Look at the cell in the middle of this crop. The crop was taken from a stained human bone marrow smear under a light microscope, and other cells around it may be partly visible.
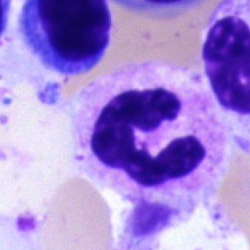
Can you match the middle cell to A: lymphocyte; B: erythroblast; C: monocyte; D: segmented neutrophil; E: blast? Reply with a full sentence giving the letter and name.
The cell placed in the middle is a segmented neutrophil; option D is correct.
